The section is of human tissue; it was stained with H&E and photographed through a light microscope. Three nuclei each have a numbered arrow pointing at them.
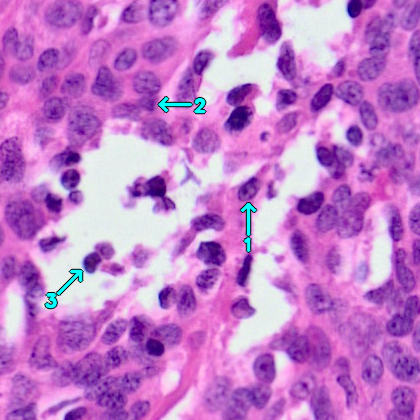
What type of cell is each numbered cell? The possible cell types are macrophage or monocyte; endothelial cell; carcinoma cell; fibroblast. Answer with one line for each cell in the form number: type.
1: macrophage or monocyte
2: carcinoma cell
3: carcinoma cell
